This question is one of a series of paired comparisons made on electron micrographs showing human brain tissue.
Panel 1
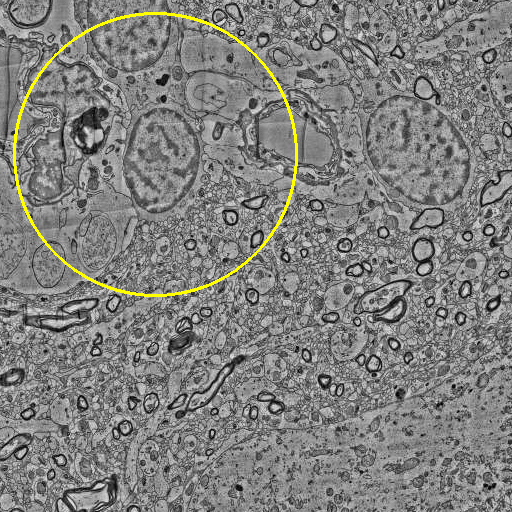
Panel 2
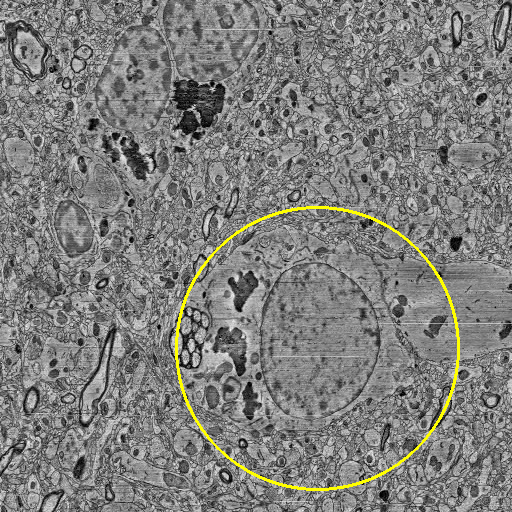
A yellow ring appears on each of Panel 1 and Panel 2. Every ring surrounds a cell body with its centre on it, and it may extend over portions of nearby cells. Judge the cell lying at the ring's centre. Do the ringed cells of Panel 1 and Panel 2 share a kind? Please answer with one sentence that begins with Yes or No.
No, the ring-centre cell in Panel 1 and the one in Panel 2 are of two kinds.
